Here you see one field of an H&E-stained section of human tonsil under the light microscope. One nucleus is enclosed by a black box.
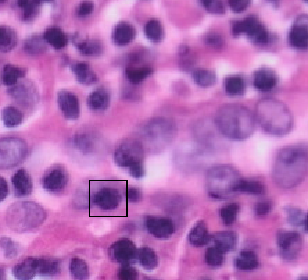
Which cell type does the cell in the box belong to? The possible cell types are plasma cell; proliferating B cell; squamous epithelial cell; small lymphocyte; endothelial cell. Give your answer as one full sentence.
The identity of the cell in the box is that of an endothelial cell.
